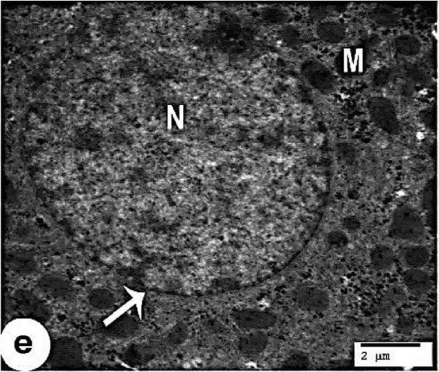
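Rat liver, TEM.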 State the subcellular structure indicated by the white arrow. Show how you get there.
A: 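The arrow points to the thin dark line bounding the large round nucleus. So: nuclear envelope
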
